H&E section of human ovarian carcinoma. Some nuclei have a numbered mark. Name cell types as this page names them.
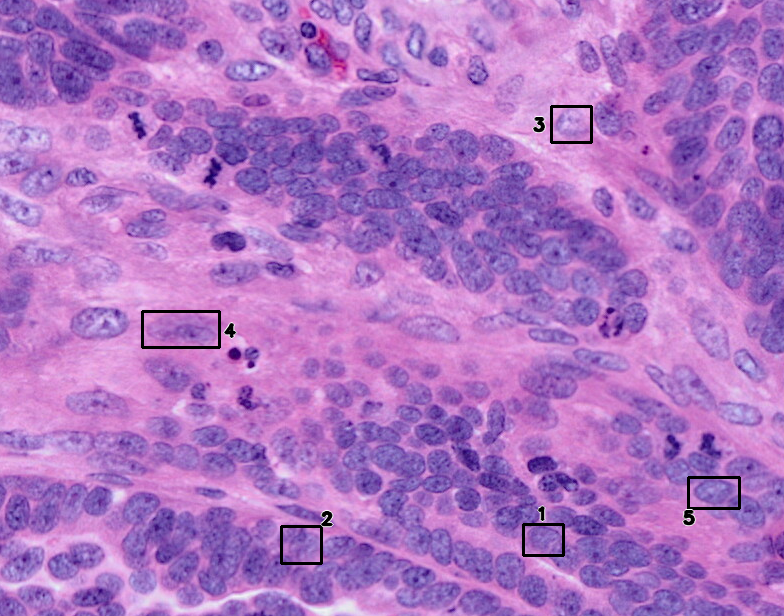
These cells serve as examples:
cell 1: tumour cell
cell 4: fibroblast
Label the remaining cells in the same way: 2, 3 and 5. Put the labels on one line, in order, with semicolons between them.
tumour cell; fibroblast; tumour cell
